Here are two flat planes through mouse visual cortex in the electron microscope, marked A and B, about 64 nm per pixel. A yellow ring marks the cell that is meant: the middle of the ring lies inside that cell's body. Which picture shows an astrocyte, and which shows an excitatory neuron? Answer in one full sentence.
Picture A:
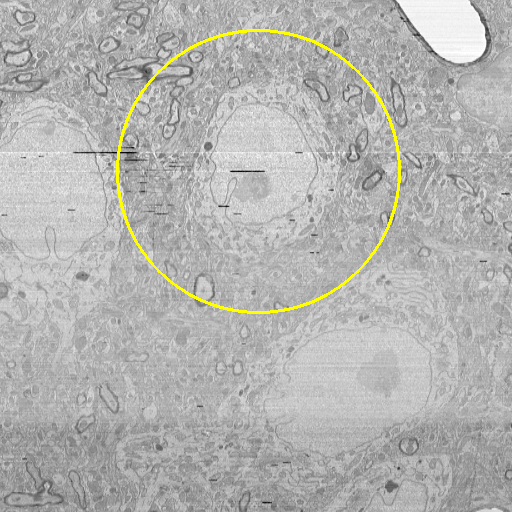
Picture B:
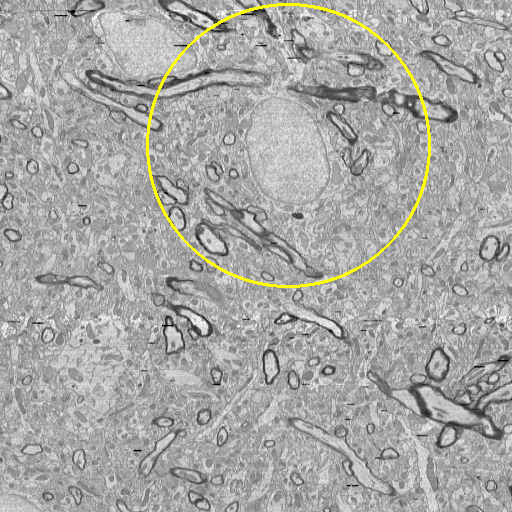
The cell in picture A is an excitatory neuron, and the one in picture B is an astrocyte.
